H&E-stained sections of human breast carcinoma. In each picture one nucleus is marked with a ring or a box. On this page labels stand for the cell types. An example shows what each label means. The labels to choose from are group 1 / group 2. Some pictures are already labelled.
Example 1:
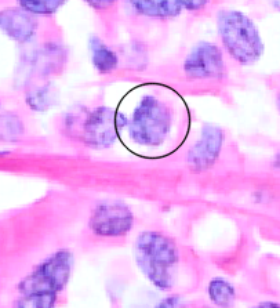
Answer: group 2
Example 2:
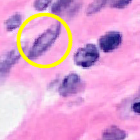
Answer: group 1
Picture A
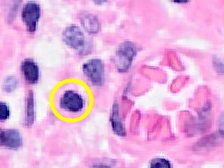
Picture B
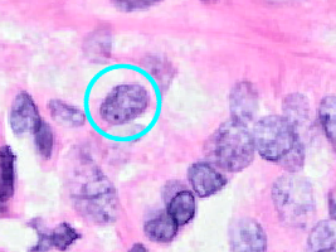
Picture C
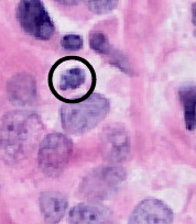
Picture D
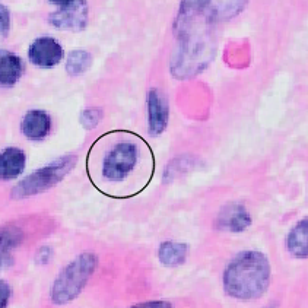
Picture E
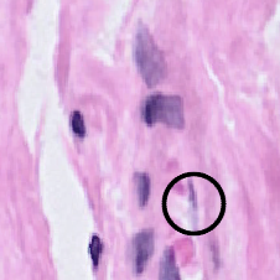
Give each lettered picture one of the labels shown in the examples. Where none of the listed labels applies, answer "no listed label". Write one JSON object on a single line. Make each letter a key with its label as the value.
{"A": "no listed label", "B": "group 2", "C": "no listed label", "D": "no listed label", "E": "group 1"}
